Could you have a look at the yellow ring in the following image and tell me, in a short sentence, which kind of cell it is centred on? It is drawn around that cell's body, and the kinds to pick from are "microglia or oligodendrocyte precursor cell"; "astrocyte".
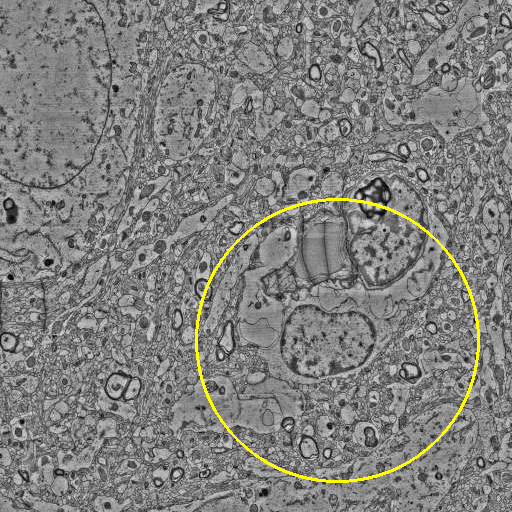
The ring is centred on the body of a microglial cell or oligodendrocyte precursor cell.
